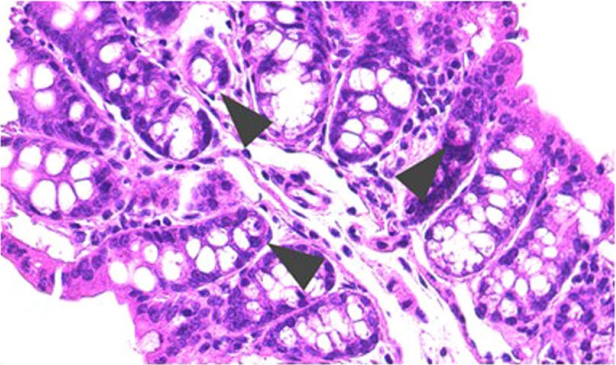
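This is the mucosa of the colon stained with hematoxylin and eosin, with crypts cut across and obliquely. Each crypt is a ring of tall columnar epithelial cells whose nuclei lie dark purple toward the base, and among them are many goblet cells whose mucin shows as pale, nearly clear cups. At the upper right the surface epithelium runs as a pink-lined border. Between the crypts lies a thin pink lamina propria carrying small vessels and scattered cells with small dark nuclei.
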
